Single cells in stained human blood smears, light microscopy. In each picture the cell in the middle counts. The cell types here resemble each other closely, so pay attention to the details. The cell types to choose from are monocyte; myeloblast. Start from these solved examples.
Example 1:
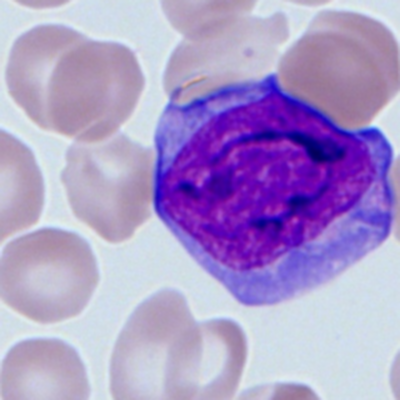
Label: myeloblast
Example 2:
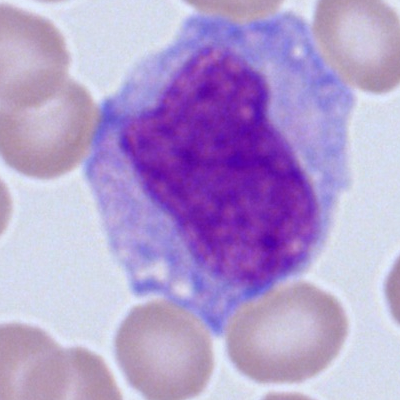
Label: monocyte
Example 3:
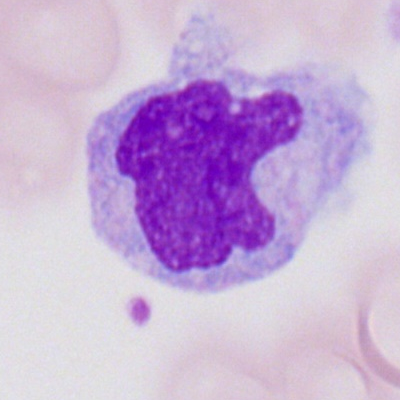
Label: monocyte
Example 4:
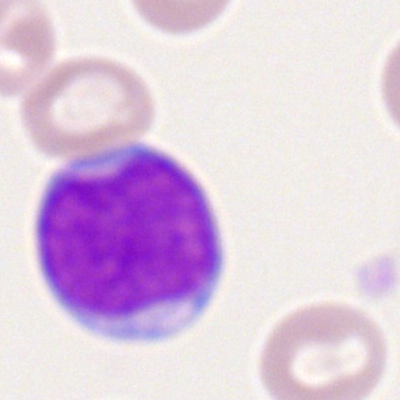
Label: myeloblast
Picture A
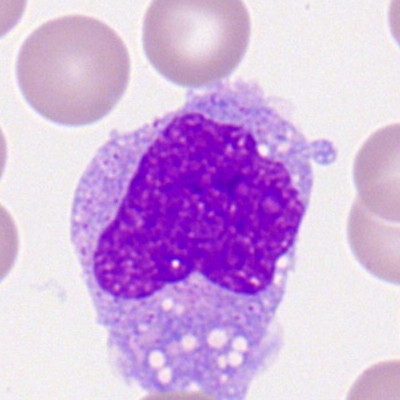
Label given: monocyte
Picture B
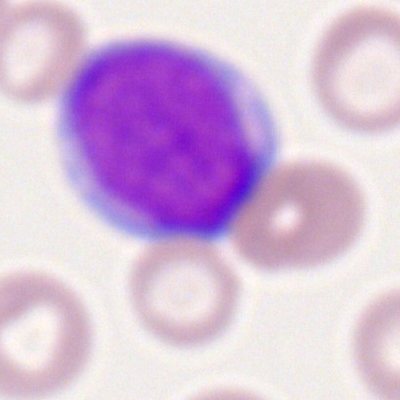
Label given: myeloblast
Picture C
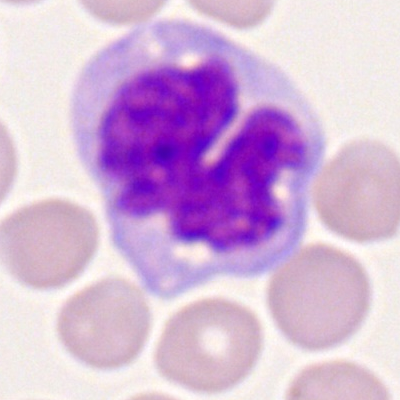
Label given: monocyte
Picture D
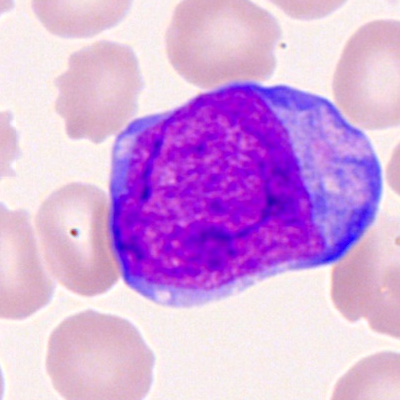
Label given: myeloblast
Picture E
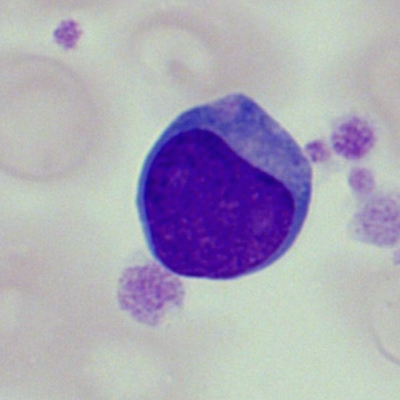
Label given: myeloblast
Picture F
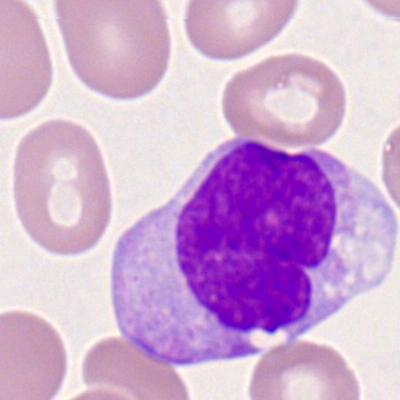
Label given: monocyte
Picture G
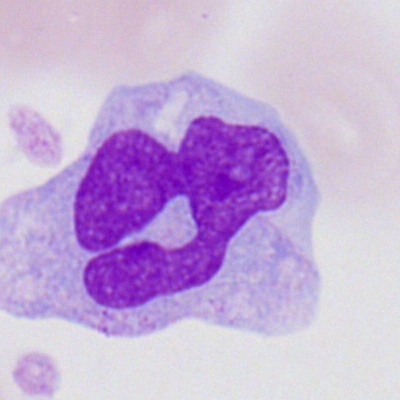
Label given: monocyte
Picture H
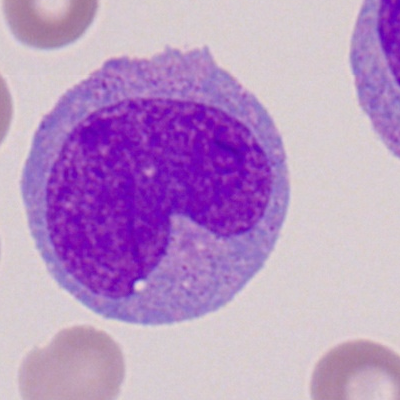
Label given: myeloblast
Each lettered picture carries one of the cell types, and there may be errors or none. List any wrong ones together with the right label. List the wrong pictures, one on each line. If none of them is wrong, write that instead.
All correct.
